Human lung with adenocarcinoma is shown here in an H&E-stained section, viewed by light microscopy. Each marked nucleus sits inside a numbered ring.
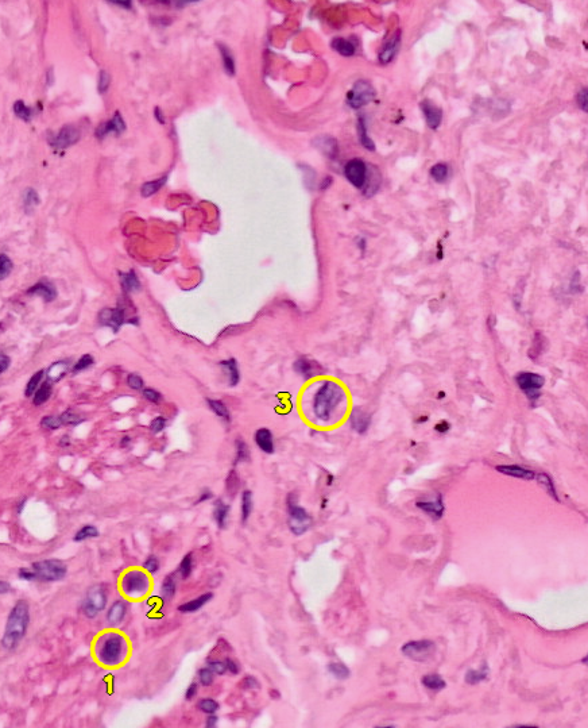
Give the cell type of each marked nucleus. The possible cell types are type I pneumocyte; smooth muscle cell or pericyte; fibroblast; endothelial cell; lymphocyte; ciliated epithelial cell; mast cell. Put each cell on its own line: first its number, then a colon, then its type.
1: smooth muscle cell or pericyte
2: smooth muscle cell or pericyte
3: fibroblast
